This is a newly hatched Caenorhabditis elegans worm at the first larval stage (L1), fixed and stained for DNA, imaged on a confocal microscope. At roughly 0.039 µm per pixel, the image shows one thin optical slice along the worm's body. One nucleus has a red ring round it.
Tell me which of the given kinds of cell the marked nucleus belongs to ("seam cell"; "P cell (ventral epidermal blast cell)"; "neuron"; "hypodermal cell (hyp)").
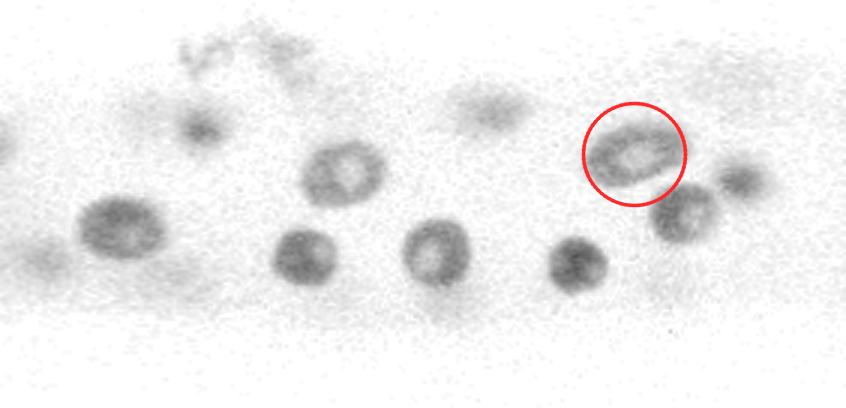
hypodermal cell (hyp)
